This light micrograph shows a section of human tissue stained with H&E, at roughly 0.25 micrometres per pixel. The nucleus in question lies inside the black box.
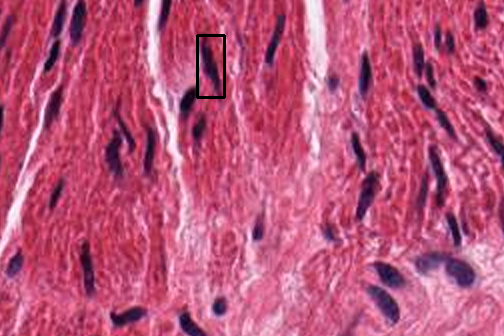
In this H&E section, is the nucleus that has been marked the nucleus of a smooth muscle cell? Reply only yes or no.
yes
